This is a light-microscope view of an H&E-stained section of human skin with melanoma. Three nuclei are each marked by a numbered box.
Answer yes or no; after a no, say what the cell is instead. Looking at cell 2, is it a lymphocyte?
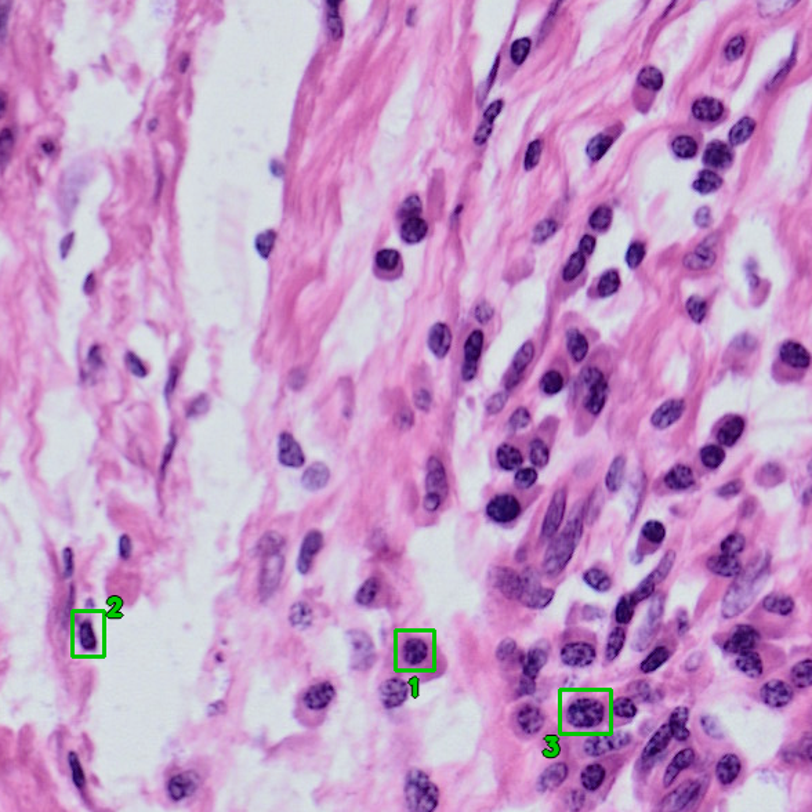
Yes.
